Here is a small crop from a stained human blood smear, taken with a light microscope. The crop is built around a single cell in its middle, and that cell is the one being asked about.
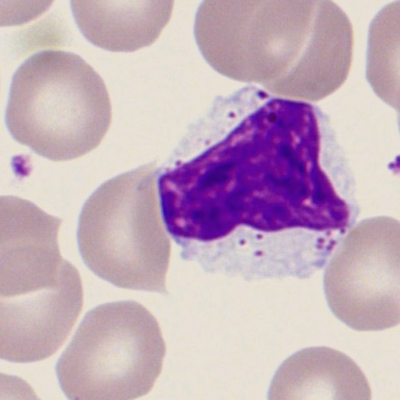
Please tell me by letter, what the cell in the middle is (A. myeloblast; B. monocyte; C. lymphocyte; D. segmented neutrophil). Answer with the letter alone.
C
